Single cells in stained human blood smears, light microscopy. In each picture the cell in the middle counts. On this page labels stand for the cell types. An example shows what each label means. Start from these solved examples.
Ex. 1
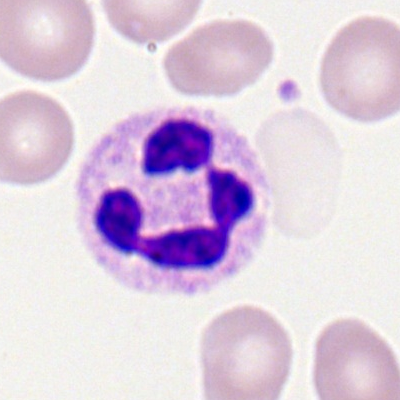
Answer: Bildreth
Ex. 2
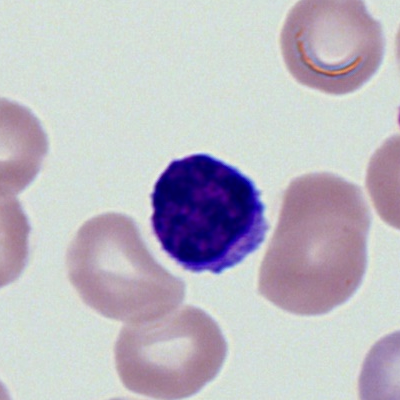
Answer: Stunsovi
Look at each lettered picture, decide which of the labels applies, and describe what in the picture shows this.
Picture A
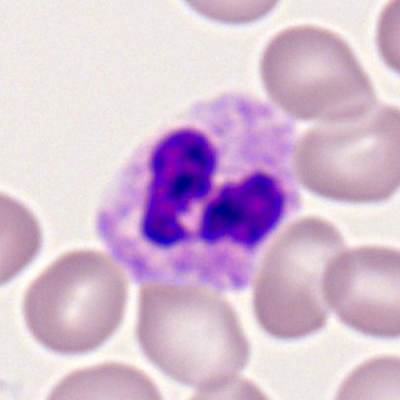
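Bildreth. Reason: The nucleus is divided into two lobes.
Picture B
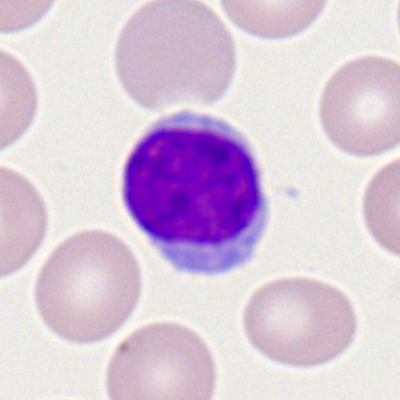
Stunsovi. Reason: The nucleus fills most of the cell.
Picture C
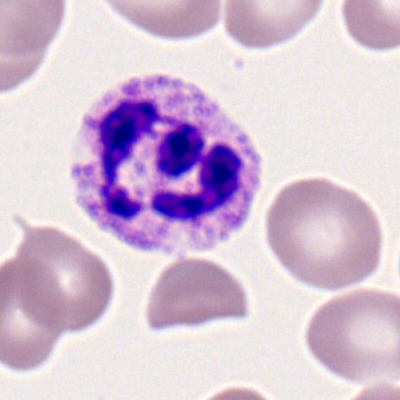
Bildreth. Reason: The nucleus is divided into several separate lobes.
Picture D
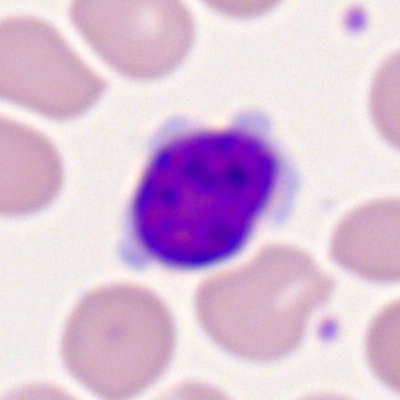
Stunsovi. Reason: The nucleus fills almost the whole cell, leaving only a scant rim of cytoplasm.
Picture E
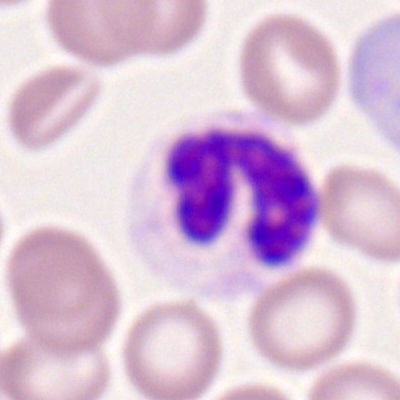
Bildreth. Reason: The nucleus is bent into an inverted U shape that opens towards the bottom.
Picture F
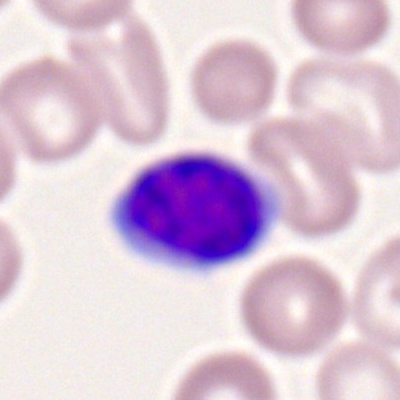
Stunsovi. Reason: The cytoplasm forms only a thin rim around the nucleus.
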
